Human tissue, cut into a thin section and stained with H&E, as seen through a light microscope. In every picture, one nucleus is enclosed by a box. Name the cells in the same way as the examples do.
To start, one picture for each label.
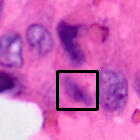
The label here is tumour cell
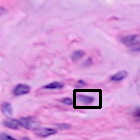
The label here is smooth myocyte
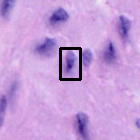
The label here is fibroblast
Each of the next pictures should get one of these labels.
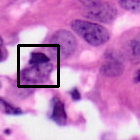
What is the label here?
tumour cell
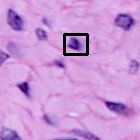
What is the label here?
fibroblast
